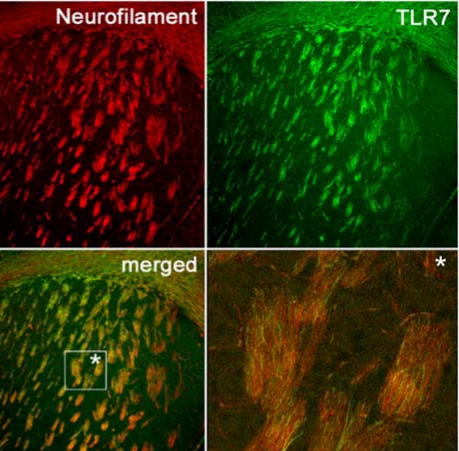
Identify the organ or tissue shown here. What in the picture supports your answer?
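Many small fibre bundles cut obliquely are dotted through grey matter. A band of white matter curves along the top edge above the bundled region. So: striatum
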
